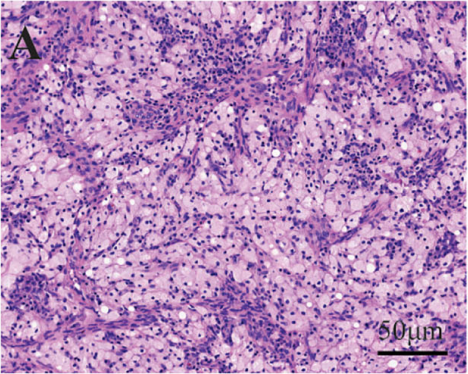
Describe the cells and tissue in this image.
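This is a region packed with histiocytes, seen as sheets of large polygonal cells with clear, finely vacuolated pale cytoplasm. Running between the sheets are thin pink strands of spindle-shaped cells. Along these strands lie small clusters of tightly packed, small, dark round nuclei of lymphocytes, scattered through the field.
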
